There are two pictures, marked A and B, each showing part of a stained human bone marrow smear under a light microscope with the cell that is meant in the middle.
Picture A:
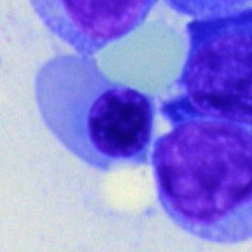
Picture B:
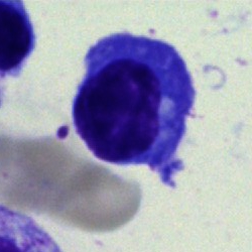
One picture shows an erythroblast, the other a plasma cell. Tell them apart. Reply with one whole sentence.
It is picture A that shows an erythroblast, and picture B that shows a plasma cell.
